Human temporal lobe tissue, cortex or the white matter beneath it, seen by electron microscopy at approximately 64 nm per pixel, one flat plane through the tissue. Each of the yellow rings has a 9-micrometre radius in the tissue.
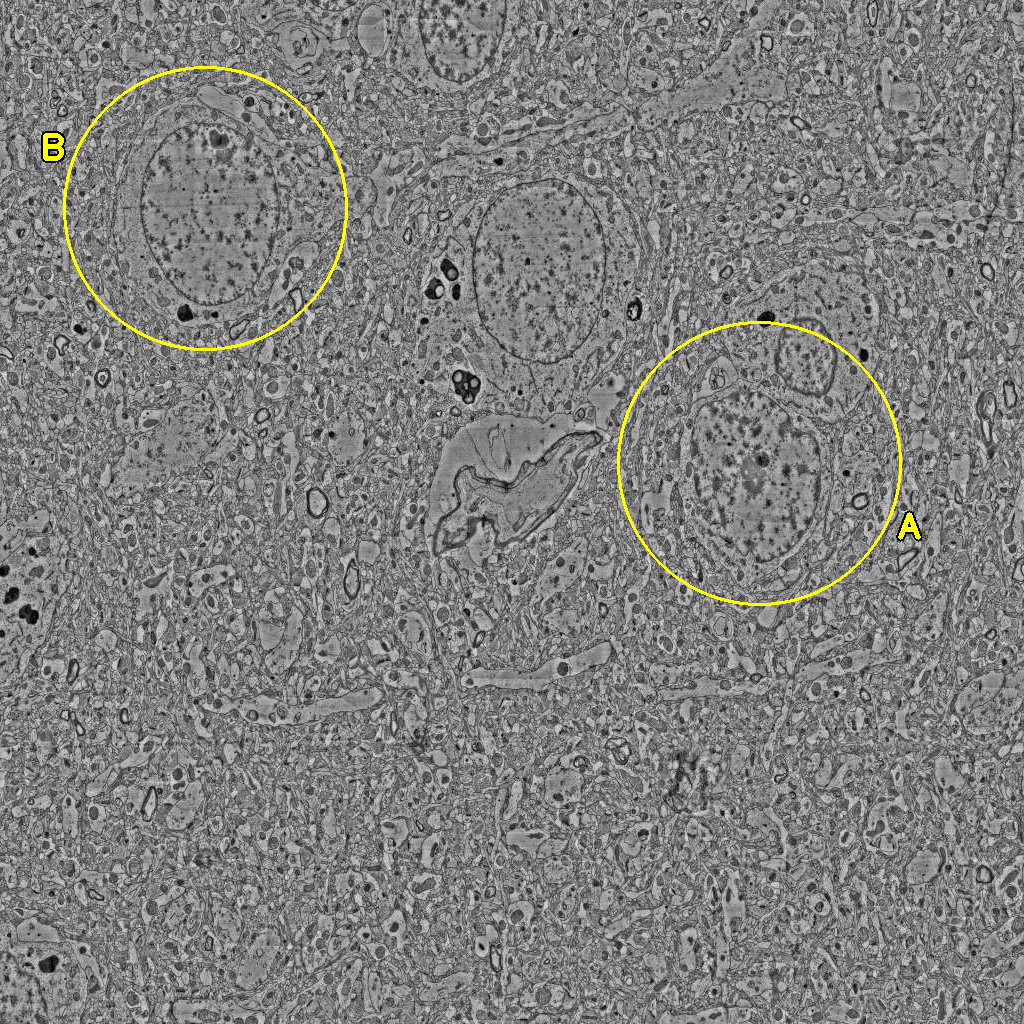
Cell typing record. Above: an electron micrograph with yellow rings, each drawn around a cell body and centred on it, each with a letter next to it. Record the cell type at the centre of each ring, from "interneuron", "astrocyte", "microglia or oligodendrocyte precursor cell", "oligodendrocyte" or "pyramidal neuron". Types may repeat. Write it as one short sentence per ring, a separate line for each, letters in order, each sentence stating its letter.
Ring A circles an interneuron.
Ring B circles a pyramidal neuron.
